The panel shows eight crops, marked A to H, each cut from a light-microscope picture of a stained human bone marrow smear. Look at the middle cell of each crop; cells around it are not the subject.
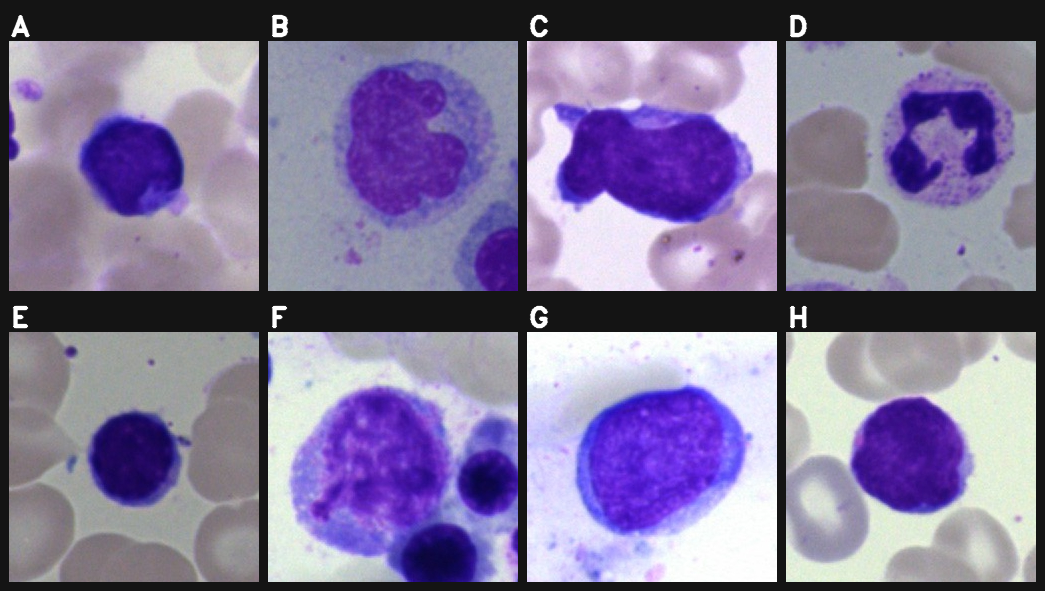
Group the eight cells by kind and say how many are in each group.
lymphocyte: 3
monocyte: 2
blast: 2
segmented neutrophil: 1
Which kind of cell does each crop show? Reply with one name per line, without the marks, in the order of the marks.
lymphocyte
monocyte
blast
segmented neutrophil
lymphocyte
monocyte
blast
lymphocyte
